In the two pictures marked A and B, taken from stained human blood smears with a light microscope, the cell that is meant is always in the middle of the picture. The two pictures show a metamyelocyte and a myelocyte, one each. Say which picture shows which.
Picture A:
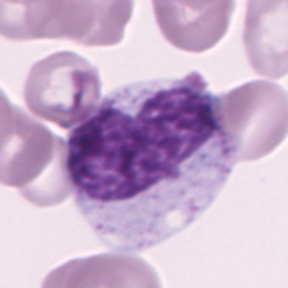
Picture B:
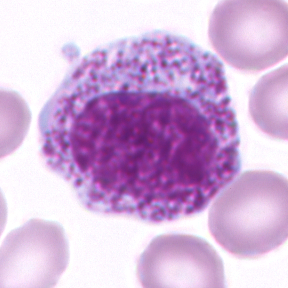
A: metamyelocyte
B: myelocyte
